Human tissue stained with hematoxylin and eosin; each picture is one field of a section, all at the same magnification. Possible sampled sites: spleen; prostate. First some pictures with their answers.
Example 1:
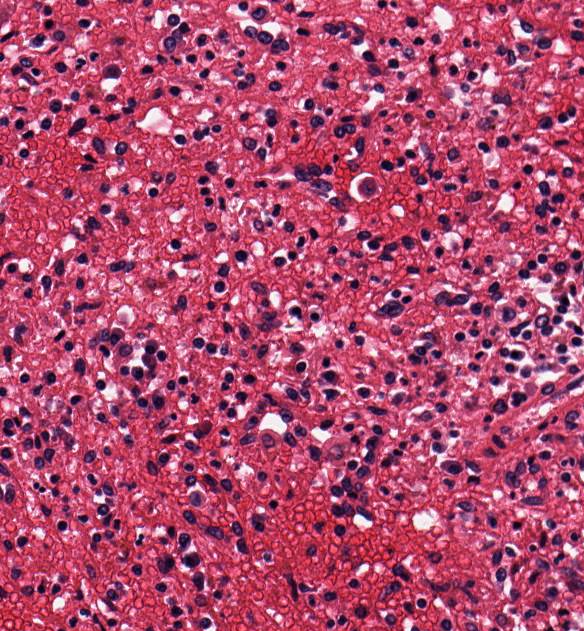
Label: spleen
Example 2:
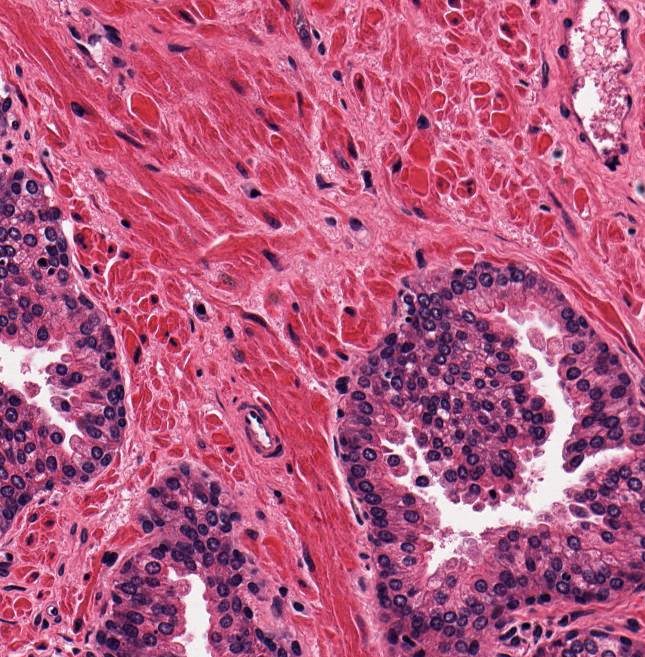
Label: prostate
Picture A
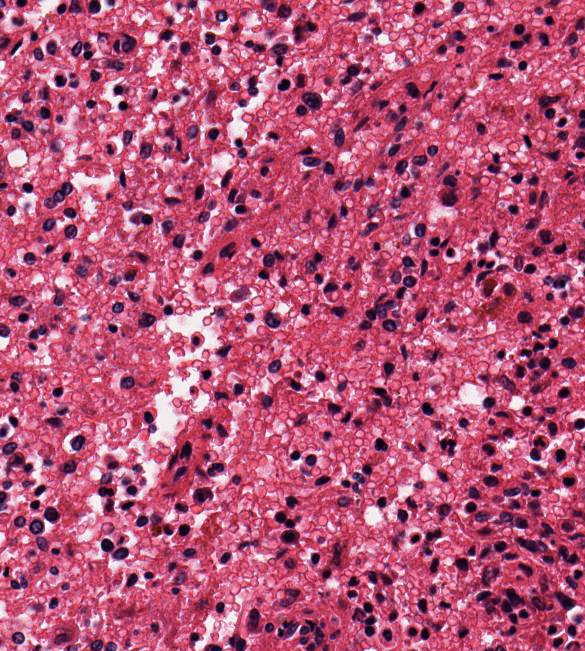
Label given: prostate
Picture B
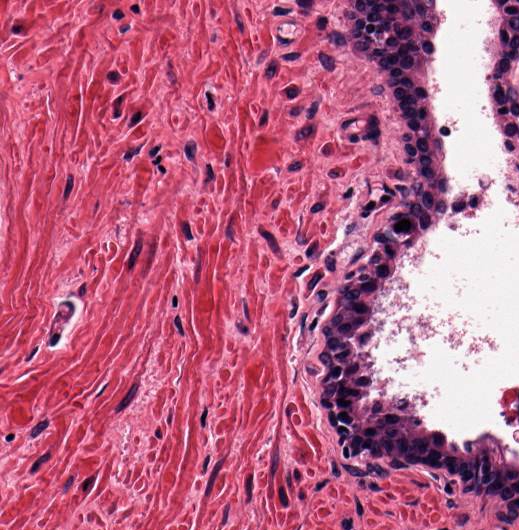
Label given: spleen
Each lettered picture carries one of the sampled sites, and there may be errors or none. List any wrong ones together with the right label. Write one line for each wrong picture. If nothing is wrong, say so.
A: spleen, not prostate
B: prostate, not spleen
